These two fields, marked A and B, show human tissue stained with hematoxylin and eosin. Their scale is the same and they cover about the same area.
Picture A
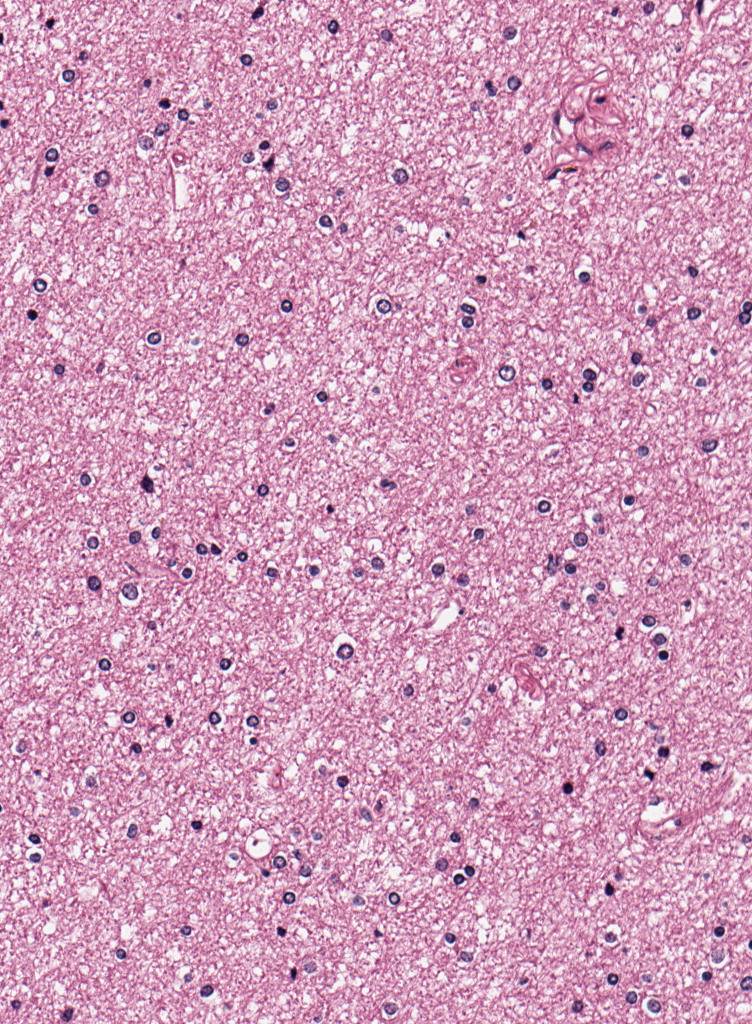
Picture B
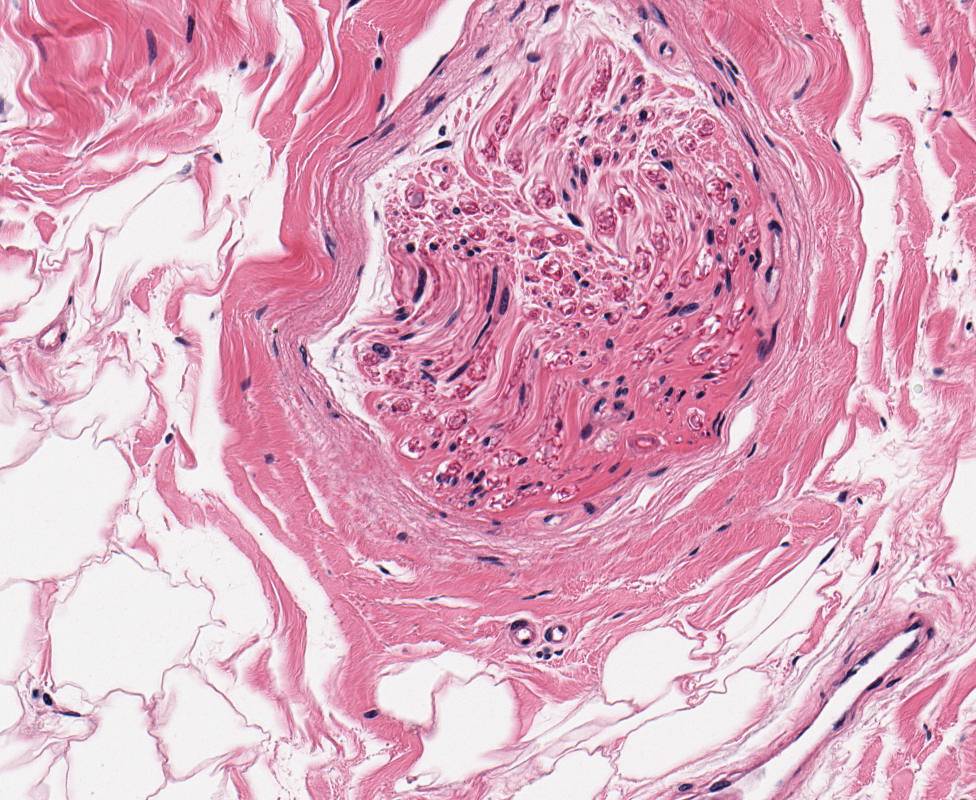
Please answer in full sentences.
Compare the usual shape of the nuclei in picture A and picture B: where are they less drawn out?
On the whole the nuclei of picture A are rounder than those of picture B.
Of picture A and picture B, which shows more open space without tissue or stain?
Picture B has more white space.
